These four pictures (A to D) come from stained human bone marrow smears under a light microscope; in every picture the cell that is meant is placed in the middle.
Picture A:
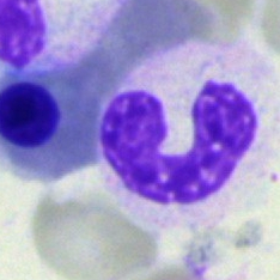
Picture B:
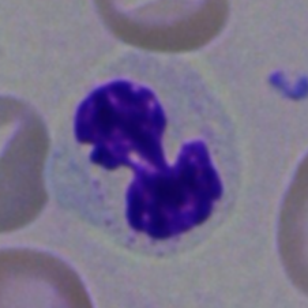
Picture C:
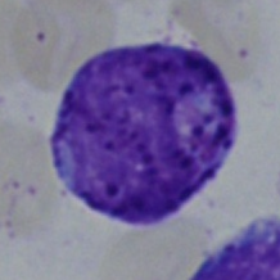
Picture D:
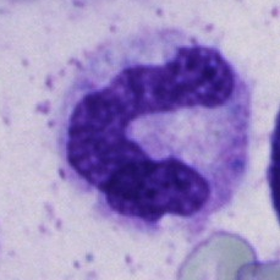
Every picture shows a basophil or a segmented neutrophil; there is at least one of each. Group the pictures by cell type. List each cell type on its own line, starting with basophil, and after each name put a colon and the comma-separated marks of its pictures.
basophil: C
segmented neutrophil: A, B, D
